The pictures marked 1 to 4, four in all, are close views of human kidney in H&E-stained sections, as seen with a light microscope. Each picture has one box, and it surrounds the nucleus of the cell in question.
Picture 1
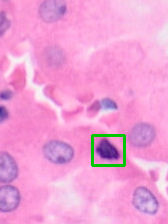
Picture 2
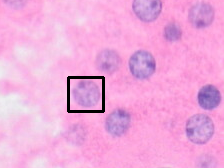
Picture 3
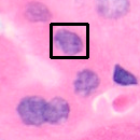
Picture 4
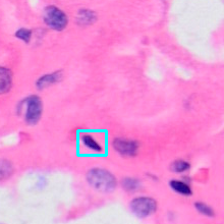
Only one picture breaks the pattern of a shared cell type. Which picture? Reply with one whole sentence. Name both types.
The others show proximal tubule cells, but picture 4 shows an endothelial cell.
